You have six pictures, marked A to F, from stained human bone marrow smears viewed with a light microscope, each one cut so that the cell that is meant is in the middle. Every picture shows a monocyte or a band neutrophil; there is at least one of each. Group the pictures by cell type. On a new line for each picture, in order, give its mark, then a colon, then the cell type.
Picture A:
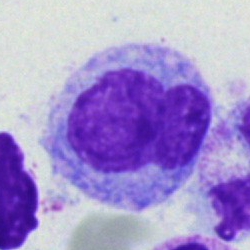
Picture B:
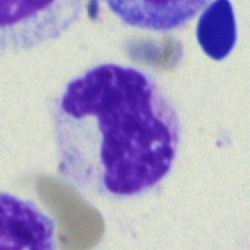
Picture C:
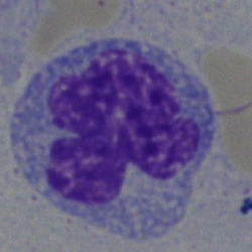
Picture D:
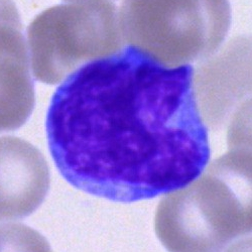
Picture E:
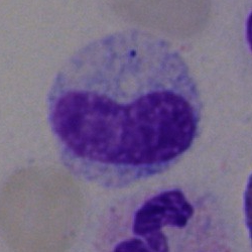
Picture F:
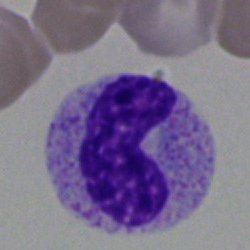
A: monocyte
B: band neutrophil
C: monocyte
D: monocyte
E: band neutrophil
F: band neutrophil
